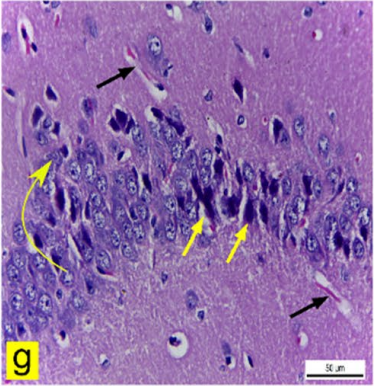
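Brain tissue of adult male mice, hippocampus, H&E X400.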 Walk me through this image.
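Many neurons retain round pale vesicular nuclei with nucleoli, but scattered among them are dark, shrunken, angular cells with condensed deeply stained nuclei, some surrounded by clear spaces. The surrounding pink fibrillar neuropil holds small glial nuclei and narrow blood vessels filled with red blood cells, bordered by clear spaces along their walls.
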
